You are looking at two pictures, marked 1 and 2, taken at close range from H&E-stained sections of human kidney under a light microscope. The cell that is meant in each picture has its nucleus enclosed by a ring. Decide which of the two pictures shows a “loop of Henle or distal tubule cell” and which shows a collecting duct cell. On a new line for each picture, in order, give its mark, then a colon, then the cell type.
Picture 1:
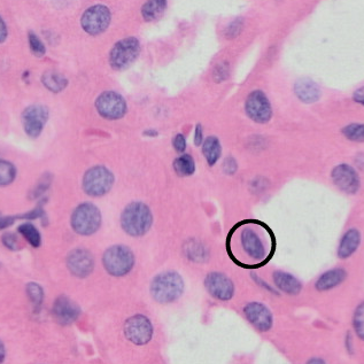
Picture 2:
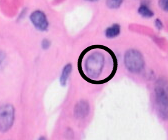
1: loop of Henle or distal tubule cell
2: collecting duct cell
